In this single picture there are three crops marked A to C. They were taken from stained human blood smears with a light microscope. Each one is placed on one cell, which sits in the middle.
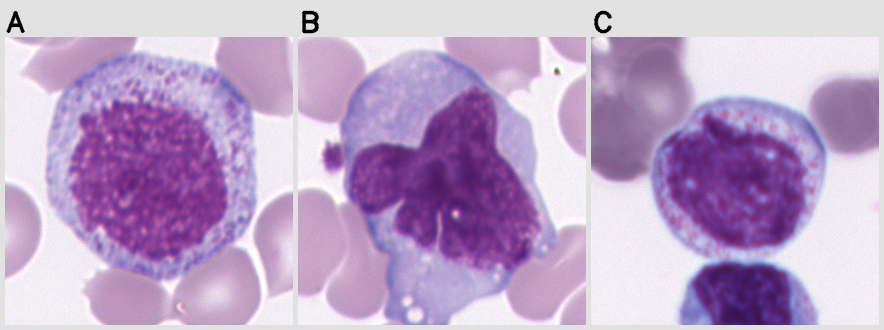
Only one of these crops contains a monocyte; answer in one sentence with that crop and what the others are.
Crop B carries a monocyte in its middle, whereas crop A is a promyelocyte and crop C is a myelocyte.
